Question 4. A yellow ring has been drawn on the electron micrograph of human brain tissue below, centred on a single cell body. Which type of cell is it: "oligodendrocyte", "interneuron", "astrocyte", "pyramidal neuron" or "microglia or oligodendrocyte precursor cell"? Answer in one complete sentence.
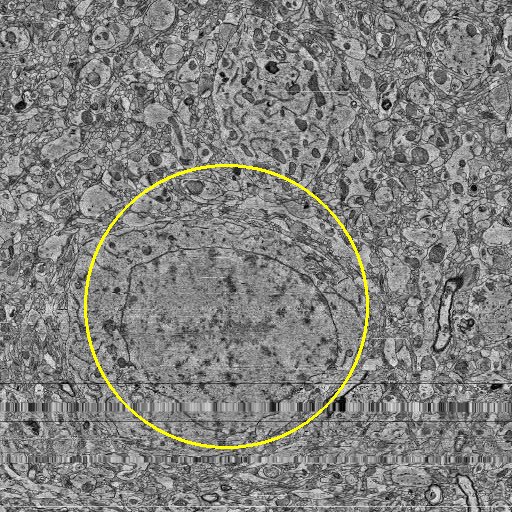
This cell body belongs to a pyramidal neuron.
